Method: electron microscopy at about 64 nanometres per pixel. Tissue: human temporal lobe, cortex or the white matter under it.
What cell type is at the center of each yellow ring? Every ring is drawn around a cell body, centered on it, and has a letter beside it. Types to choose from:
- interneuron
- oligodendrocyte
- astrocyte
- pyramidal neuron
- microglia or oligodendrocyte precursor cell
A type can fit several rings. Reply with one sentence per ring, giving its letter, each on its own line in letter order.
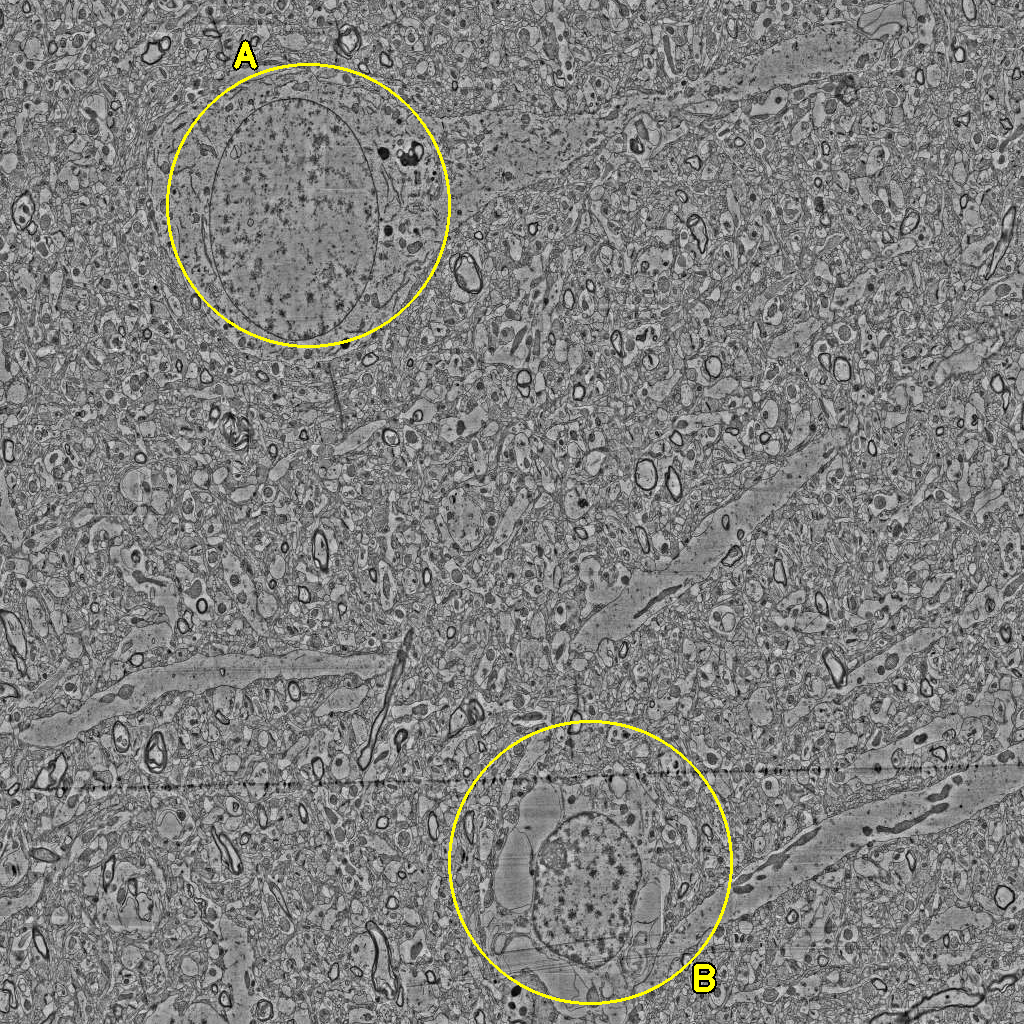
Ring A is placed around a pyramidal neuron.
Ring B is placed around an astrocyte.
